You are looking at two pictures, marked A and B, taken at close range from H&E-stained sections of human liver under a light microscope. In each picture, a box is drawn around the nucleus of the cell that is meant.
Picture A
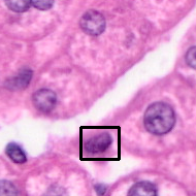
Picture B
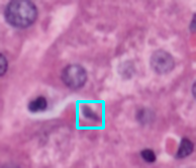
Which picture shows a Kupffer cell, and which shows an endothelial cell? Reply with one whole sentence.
Picture A is of a Kupffer cell, and picture B is of an endothelial cell.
